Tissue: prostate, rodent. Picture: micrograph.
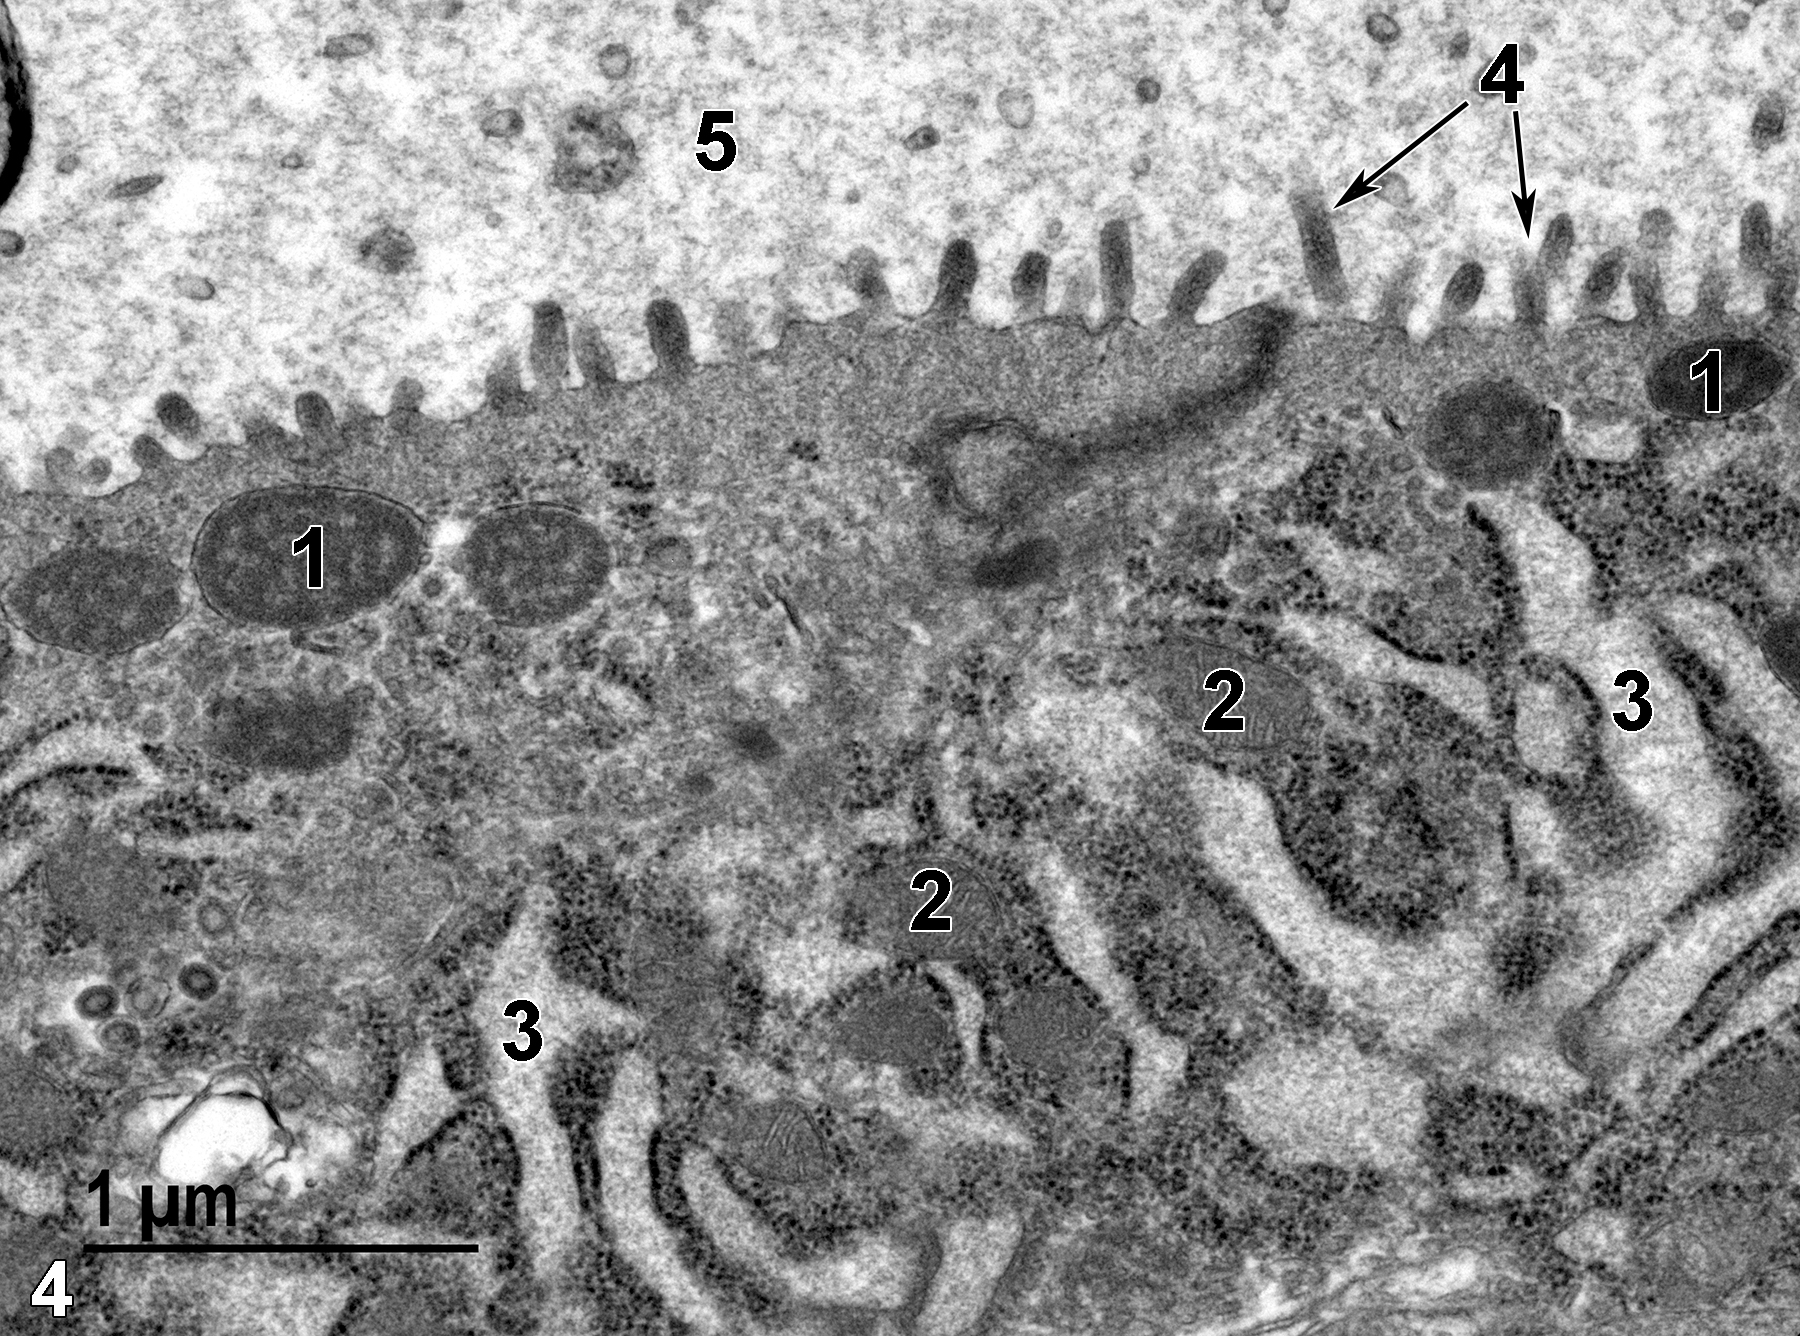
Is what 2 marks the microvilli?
No: the mitochondria.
